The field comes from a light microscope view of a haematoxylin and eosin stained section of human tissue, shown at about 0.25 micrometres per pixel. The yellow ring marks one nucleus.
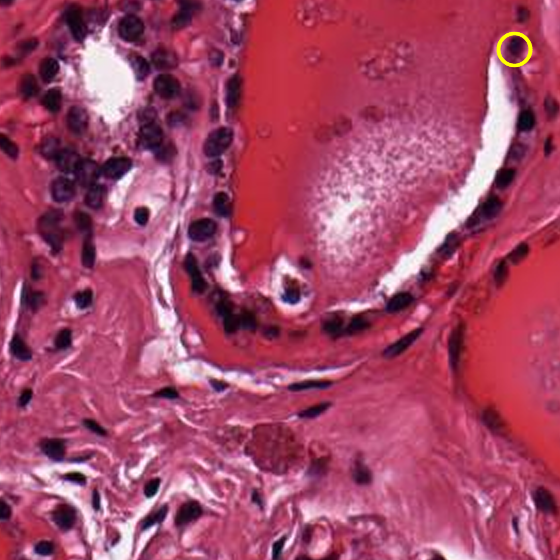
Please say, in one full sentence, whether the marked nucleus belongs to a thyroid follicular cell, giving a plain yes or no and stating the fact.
Yes, in this image it is a thyroid follicular cell that contains the marked nucleus.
